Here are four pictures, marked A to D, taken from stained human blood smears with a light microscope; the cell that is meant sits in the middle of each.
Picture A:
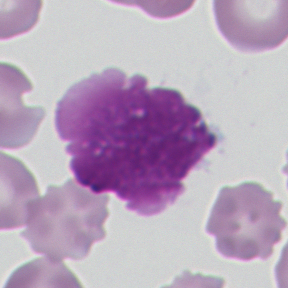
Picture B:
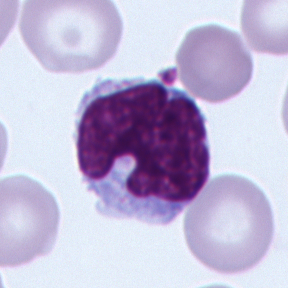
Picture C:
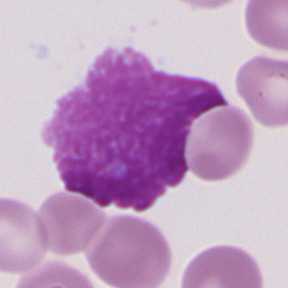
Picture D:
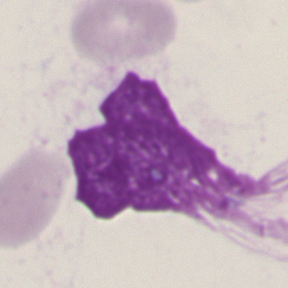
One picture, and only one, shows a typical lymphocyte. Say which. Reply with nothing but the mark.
B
